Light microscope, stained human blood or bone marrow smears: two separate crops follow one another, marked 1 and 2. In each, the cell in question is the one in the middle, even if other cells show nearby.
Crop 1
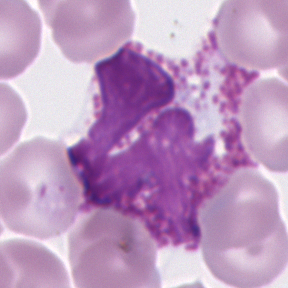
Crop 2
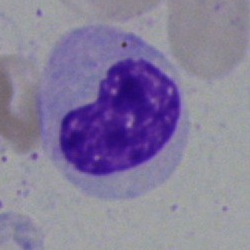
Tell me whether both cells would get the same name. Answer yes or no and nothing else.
no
